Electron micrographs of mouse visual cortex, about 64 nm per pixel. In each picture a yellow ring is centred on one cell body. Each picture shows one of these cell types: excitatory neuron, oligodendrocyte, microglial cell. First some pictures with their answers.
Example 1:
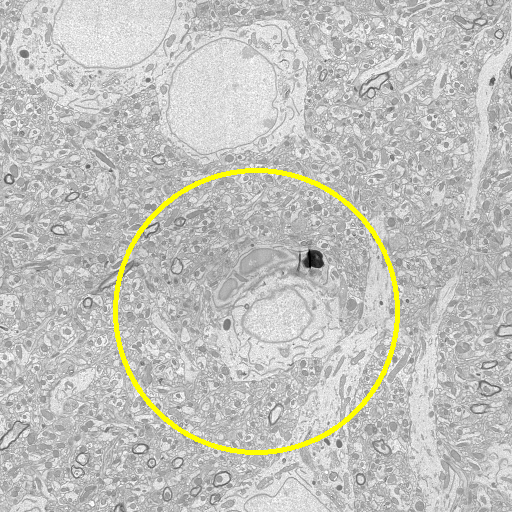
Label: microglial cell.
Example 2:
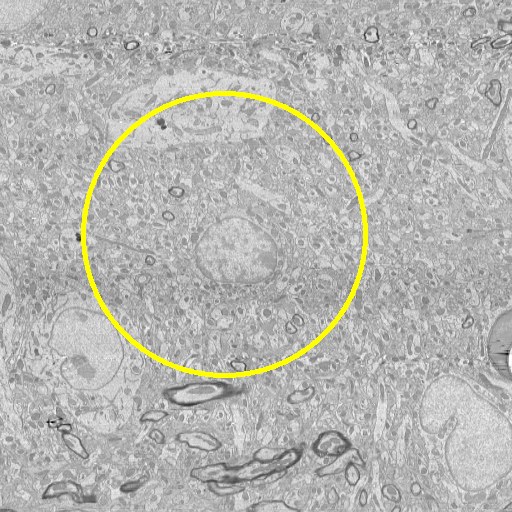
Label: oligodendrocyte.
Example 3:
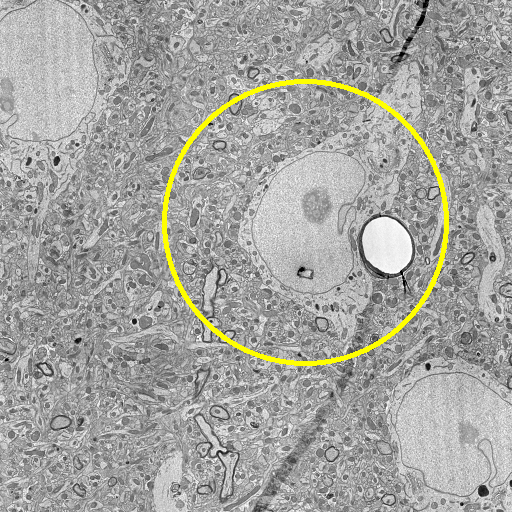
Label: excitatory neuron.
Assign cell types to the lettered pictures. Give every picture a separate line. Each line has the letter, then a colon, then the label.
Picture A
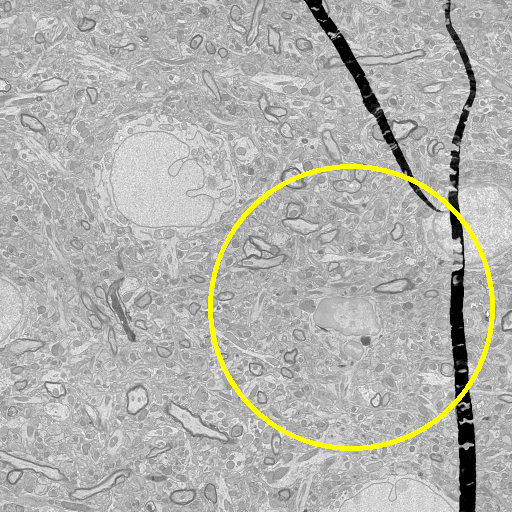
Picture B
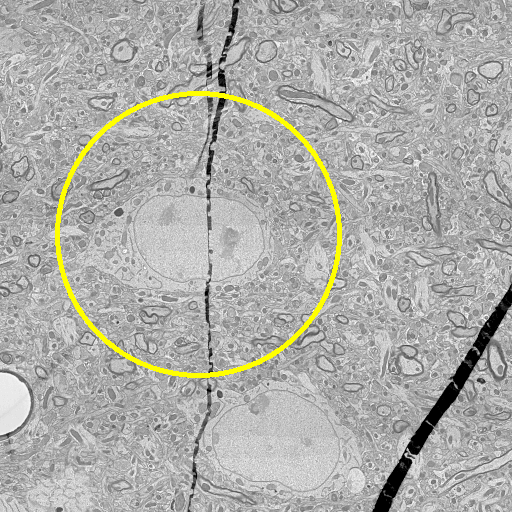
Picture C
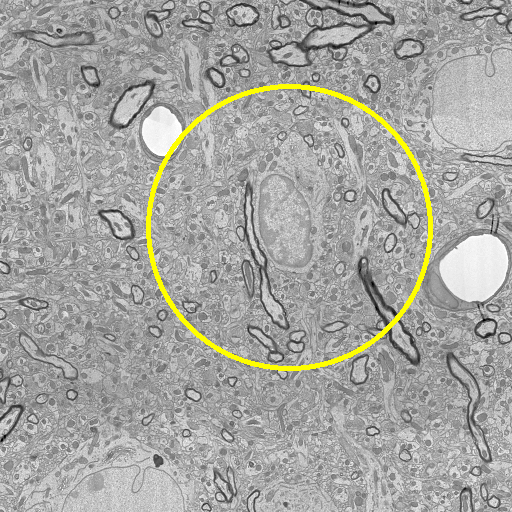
A: microglial cell.
B: excitatory neuron.
C: oligodendrocyte.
